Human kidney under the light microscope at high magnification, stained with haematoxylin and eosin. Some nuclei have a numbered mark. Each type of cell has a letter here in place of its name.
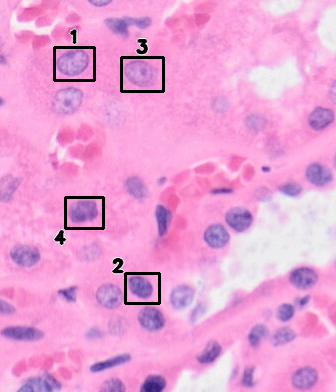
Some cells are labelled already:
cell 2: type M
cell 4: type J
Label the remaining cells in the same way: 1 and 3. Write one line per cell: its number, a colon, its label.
1: type J
3: type J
